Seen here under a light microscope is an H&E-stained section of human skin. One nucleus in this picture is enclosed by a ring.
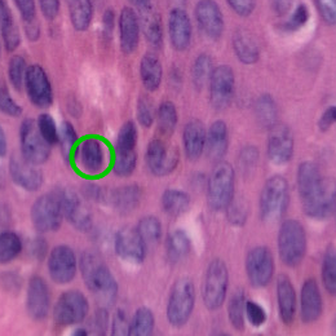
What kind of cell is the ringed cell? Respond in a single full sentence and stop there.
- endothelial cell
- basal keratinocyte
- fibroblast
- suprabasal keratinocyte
It is as a basal keratinocyte that the ringed cell is recorded.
